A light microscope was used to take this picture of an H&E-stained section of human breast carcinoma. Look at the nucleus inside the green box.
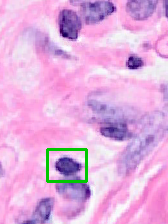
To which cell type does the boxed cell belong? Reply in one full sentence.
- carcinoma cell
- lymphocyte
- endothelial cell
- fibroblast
It is as a lymphocyte that the boxed cell is recorded.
